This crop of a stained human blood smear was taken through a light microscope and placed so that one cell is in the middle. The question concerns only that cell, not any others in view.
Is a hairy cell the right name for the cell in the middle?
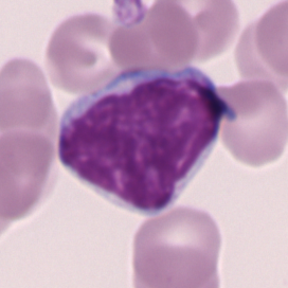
no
